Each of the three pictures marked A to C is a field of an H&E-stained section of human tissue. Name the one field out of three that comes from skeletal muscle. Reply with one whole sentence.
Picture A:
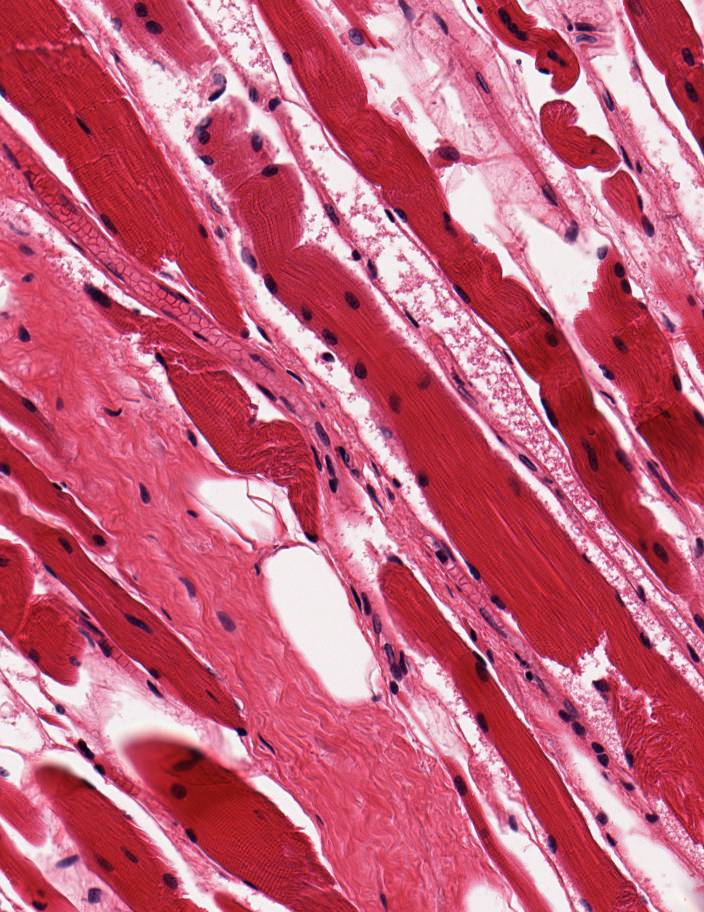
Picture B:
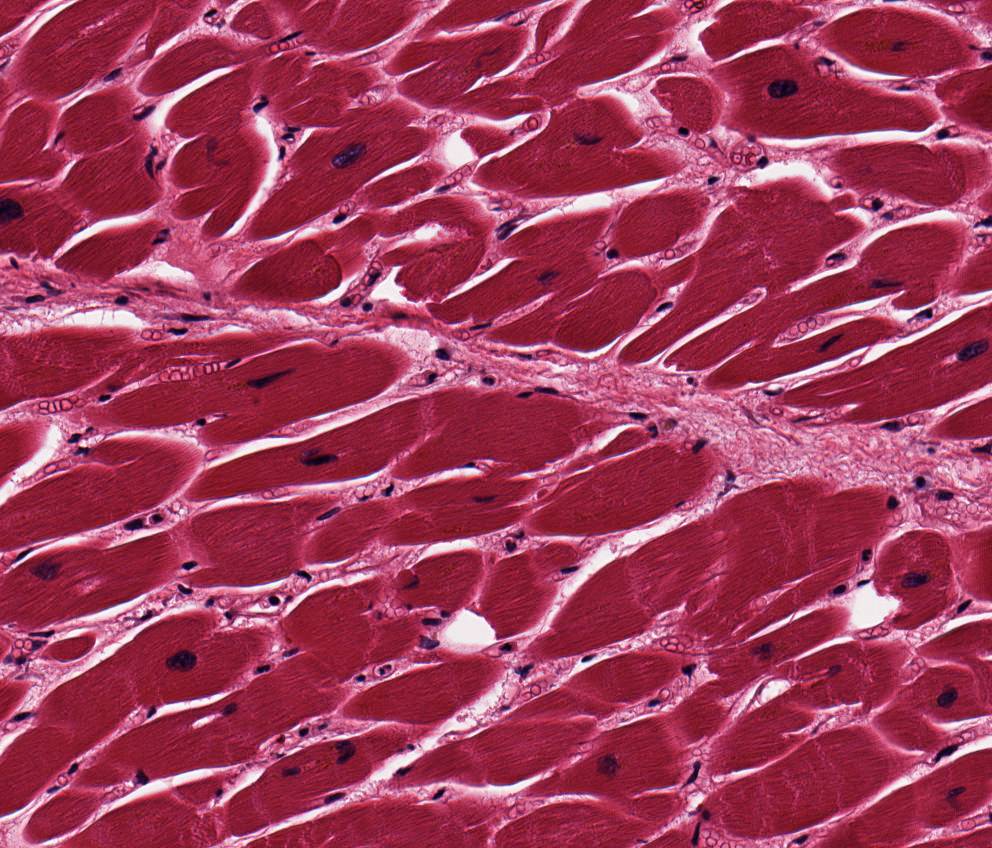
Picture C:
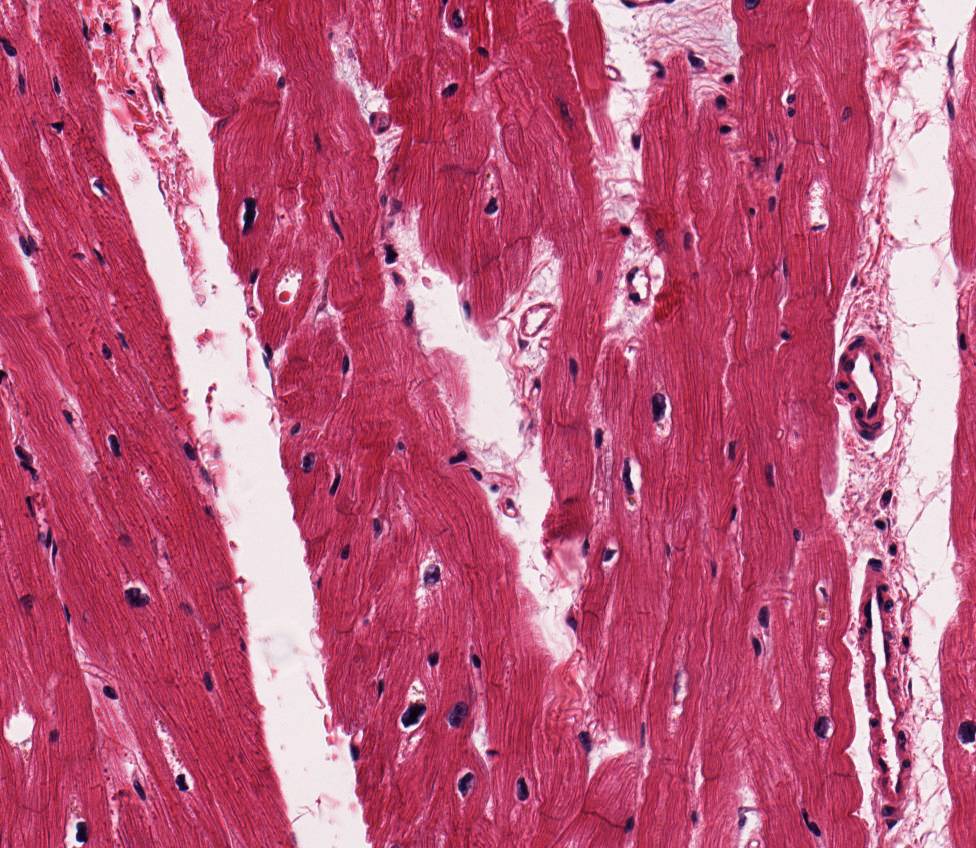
Picture A is the field that comes from skeletal muscle.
